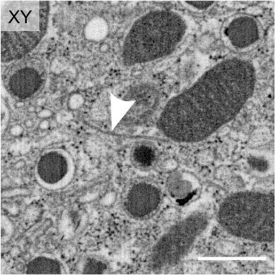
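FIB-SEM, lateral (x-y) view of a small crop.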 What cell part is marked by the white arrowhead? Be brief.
Microtubule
